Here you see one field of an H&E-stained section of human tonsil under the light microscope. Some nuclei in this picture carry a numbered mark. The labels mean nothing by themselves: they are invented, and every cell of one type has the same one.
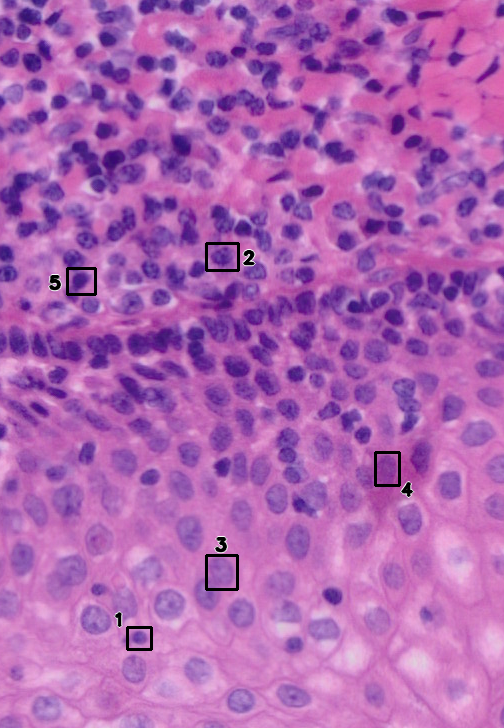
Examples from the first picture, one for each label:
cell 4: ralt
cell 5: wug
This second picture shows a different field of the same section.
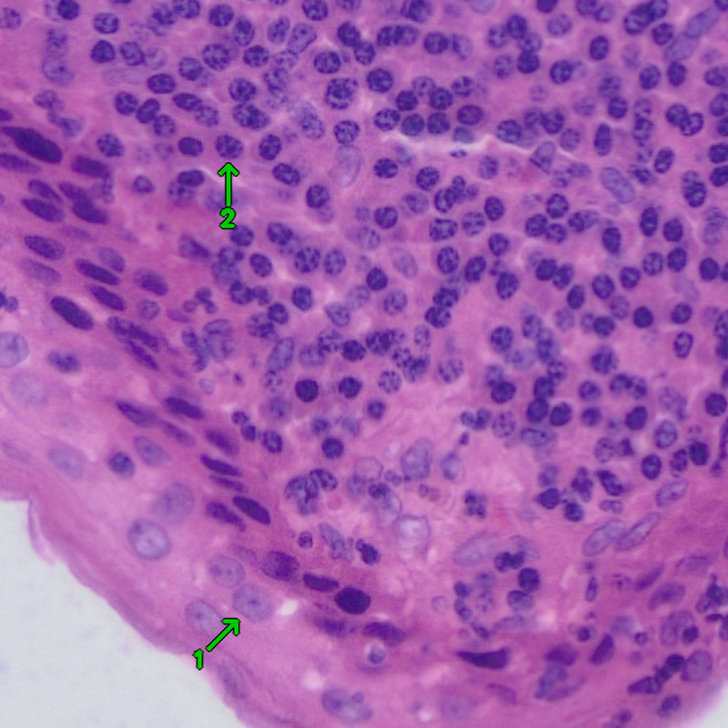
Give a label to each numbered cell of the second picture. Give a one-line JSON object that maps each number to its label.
{"1": "ralt", "2": "wug"}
